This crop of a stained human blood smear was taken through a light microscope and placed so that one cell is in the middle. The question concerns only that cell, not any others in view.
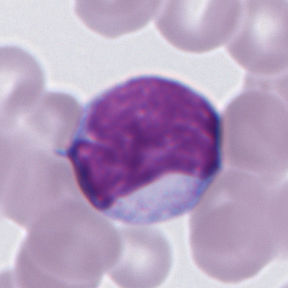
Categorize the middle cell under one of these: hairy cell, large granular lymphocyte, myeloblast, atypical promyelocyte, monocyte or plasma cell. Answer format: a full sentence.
Classified as a large granular lymphocyte is the cell in the middle of this crop.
